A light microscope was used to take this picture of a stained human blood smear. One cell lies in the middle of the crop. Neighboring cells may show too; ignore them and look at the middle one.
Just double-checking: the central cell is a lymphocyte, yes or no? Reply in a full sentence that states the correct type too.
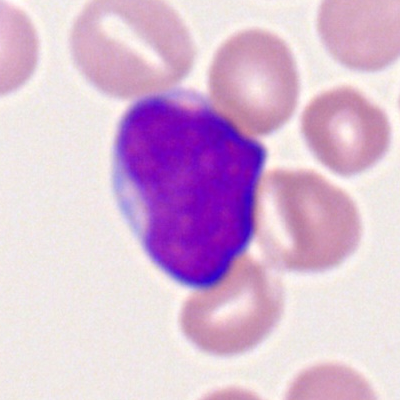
No, what sits in the centre of the crop is a blast rather than a lymphocyte.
